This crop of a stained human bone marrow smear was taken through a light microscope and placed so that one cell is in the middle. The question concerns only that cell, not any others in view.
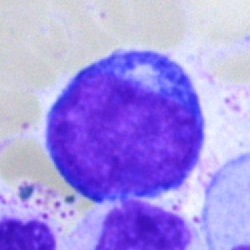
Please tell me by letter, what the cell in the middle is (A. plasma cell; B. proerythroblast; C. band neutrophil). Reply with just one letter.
B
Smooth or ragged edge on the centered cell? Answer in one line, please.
Its surface contour is regular and smooth, without any protrusions.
